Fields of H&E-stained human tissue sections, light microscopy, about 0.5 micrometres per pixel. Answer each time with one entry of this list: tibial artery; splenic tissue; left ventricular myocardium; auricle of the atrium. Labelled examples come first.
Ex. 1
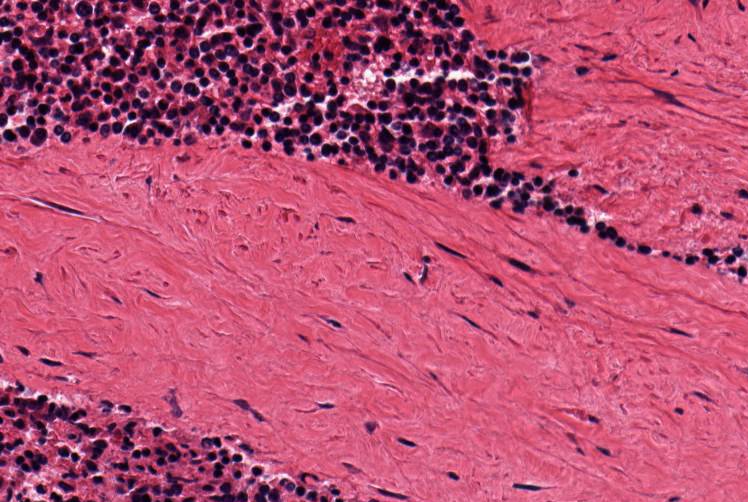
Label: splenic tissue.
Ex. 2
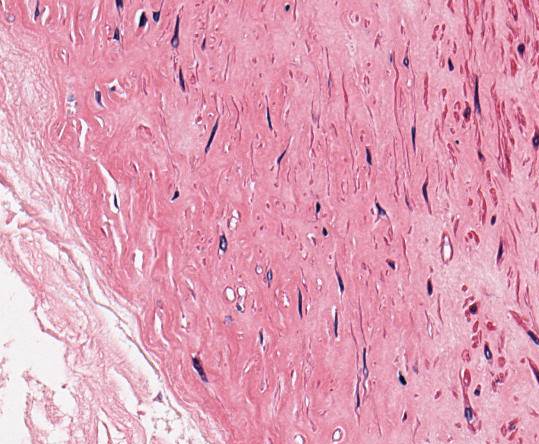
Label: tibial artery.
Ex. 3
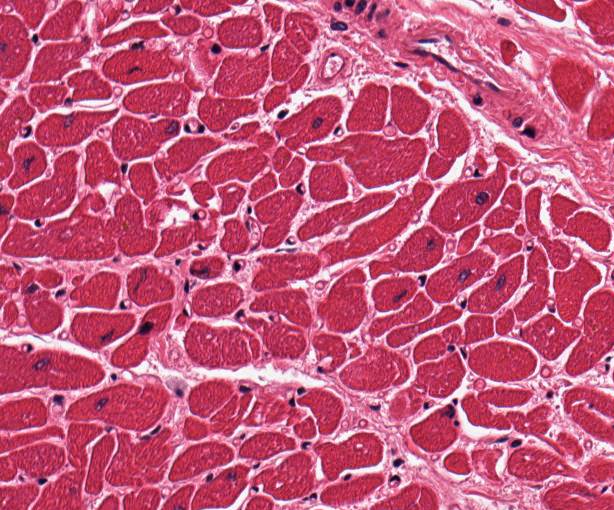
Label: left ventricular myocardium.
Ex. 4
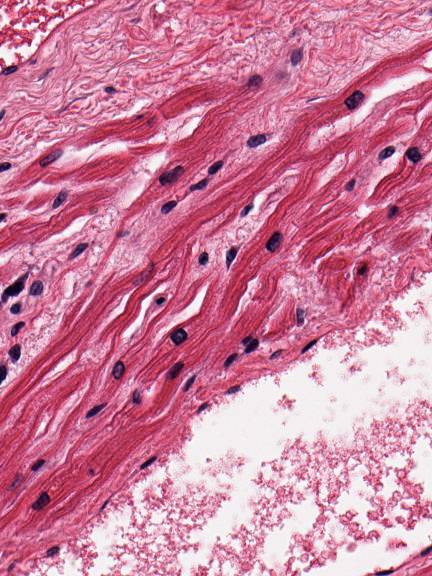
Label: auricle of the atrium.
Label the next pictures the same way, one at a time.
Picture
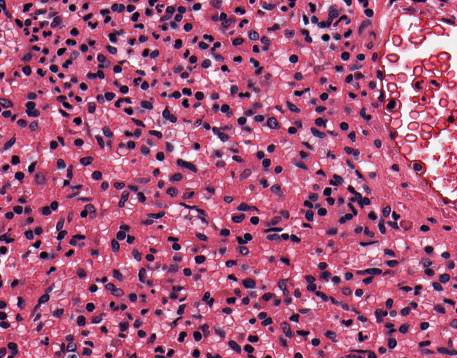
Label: splenic tissue.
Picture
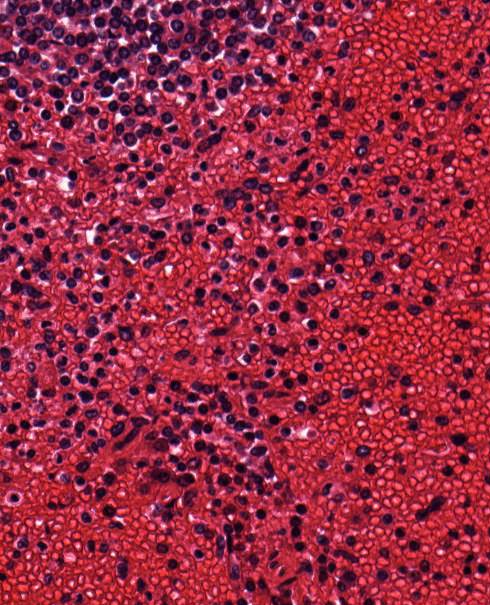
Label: splenic tissue.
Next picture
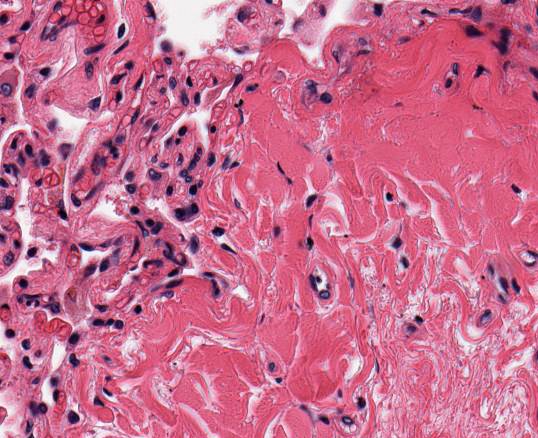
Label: auricle of the atrium.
